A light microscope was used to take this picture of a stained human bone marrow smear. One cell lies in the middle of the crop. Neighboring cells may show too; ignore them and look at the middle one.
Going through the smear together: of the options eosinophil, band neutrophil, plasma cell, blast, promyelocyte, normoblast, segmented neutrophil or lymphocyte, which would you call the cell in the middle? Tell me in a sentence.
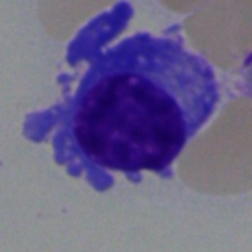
The centrally placed cell is classified as a plasma cell.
